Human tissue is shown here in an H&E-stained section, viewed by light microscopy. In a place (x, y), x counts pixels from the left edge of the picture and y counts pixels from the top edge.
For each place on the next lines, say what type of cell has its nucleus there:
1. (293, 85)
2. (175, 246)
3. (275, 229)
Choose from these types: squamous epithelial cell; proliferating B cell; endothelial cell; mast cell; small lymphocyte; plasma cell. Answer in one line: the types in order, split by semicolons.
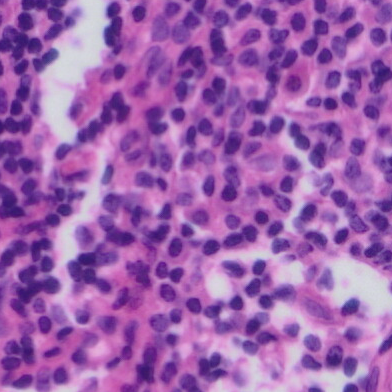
plasma cell; plasma cell; small lymphocyte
